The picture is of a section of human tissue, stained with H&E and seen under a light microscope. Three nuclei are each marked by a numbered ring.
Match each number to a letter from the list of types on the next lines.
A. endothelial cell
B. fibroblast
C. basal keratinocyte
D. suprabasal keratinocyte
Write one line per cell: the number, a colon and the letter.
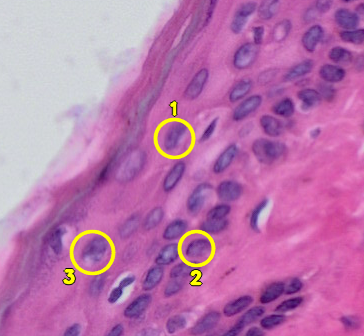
1: D
2: C
3: D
